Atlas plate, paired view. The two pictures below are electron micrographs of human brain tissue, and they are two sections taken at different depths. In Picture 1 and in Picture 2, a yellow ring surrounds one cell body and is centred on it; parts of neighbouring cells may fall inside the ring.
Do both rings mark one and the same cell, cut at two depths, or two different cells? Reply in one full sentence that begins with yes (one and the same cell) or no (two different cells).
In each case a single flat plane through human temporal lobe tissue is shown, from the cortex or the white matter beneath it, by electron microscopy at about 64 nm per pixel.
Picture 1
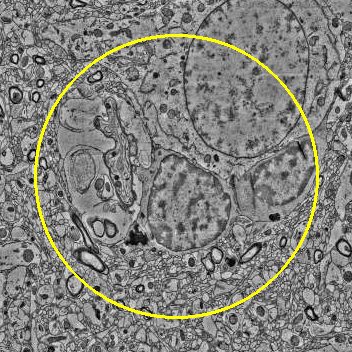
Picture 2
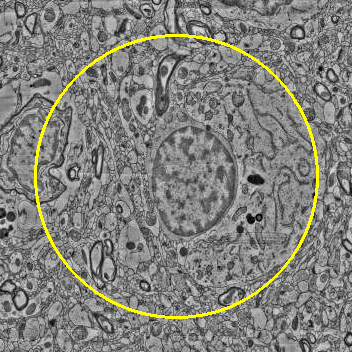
No, the pair of yellow rings marks two distinct cells.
